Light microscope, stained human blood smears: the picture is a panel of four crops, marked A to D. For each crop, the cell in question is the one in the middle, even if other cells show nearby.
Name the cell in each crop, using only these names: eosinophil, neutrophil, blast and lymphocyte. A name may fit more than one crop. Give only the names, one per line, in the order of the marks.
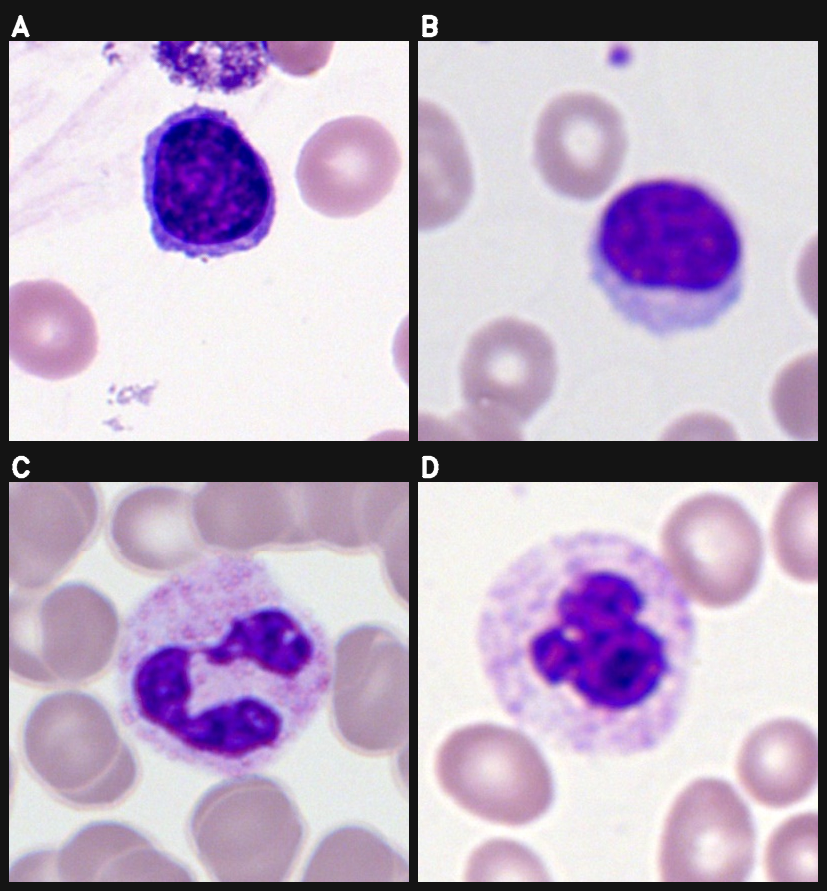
lymphocyte
lymphocyte
neutrophil
neutrophil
